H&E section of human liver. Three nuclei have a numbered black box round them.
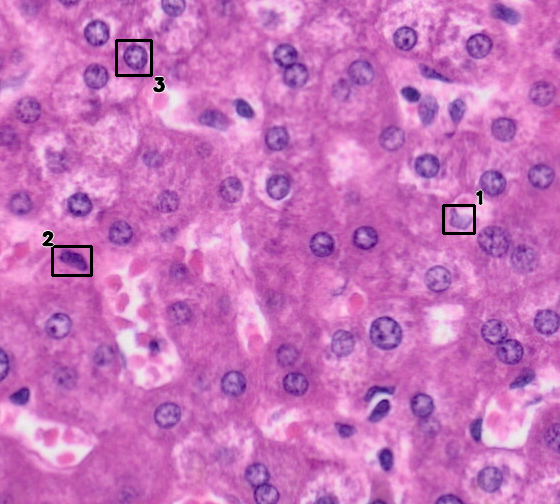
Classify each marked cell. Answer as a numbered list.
1. endothelial cell
2. fibroblast or stellate cell
3. hepatocyte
